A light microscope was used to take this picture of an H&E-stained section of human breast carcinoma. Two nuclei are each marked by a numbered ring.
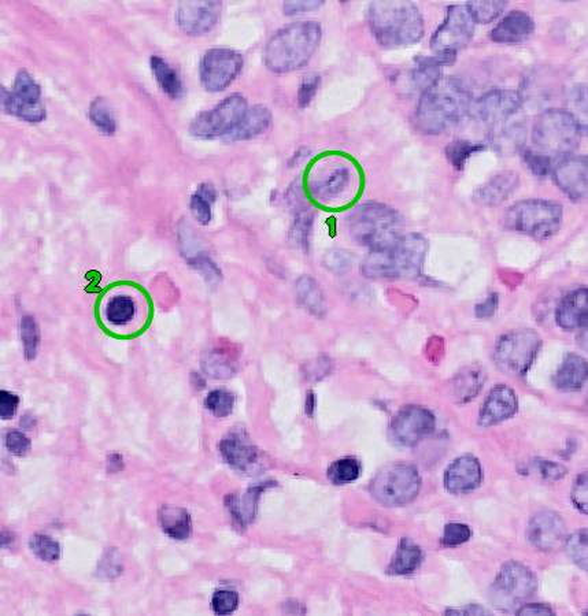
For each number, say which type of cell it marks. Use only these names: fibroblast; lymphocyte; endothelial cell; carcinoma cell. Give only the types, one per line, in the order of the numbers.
endothelial cell
lymphocyte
